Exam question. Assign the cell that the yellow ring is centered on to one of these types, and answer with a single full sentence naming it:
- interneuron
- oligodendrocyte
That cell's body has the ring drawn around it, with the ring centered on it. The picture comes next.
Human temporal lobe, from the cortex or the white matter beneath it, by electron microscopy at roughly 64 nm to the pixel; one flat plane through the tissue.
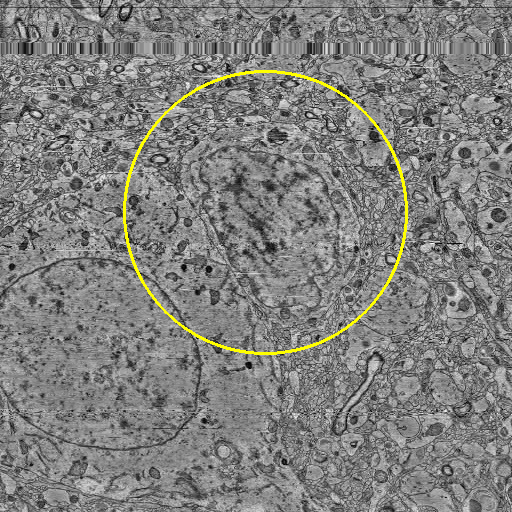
In the micrograph, the cell the yellow ring is centered on is an interneuron.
